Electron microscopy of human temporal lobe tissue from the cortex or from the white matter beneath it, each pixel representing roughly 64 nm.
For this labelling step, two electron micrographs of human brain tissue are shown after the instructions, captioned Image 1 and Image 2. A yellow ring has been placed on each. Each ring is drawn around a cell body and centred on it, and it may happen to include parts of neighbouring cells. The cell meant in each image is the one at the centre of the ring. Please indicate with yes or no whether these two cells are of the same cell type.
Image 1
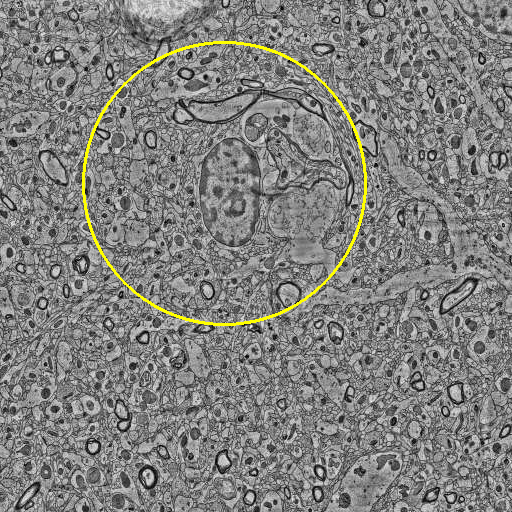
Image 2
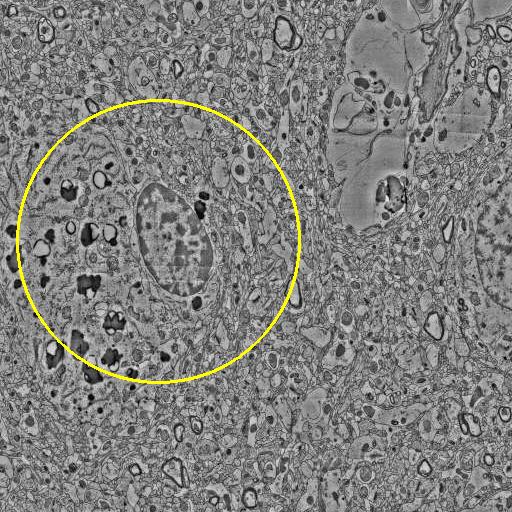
yes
